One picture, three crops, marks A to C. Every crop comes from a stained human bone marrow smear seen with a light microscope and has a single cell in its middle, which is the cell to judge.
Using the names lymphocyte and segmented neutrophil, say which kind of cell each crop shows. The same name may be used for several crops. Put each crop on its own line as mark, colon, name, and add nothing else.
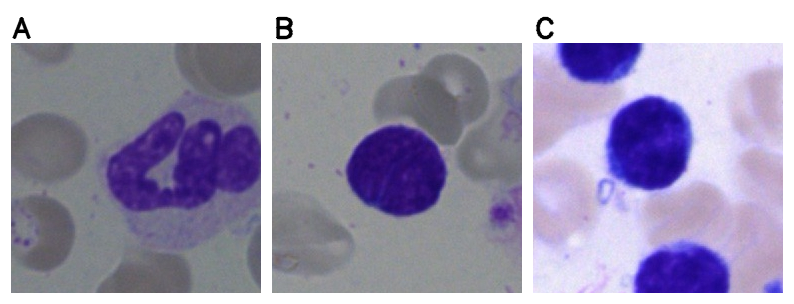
A: segmented neutrophil
B: lymphocyte
C: lymphocyte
